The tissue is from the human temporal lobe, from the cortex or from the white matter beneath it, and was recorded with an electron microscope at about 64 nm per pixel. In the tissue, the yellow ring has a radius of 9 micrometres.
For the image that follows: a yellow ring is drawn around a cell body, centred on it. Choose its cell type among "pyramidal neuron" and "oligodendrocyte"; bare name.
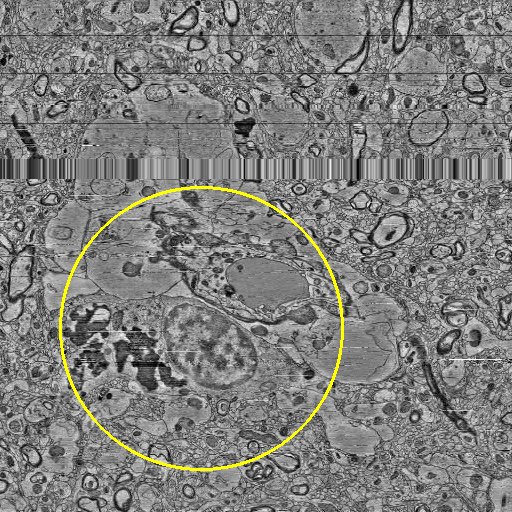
oligodendrocyte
